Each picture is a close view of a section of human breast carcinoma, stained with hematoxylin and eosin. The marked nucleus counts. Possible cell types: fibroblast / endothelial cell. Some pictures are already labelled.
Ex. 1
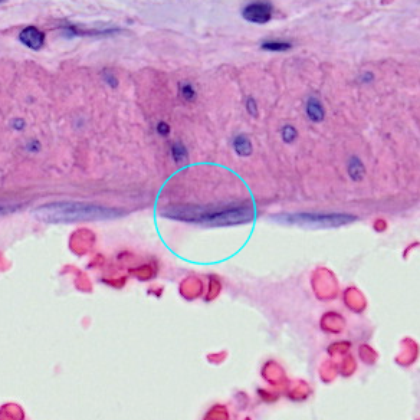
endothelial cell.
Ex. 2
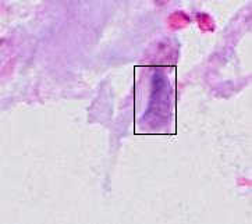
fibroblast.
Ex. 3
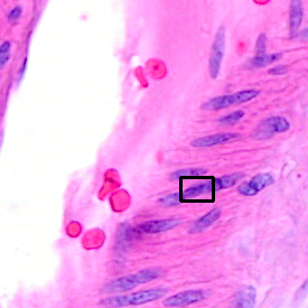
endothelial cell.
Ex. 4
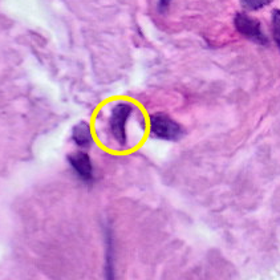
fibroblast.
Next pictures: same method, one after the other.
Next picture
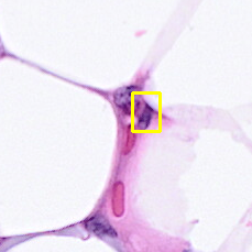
endothelial cell.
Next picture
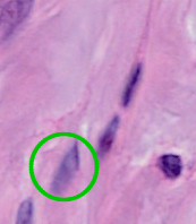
fibroblast.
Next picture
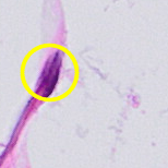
endothelial cell.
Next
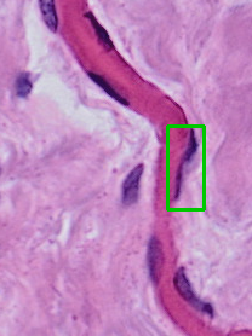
endothelial cell.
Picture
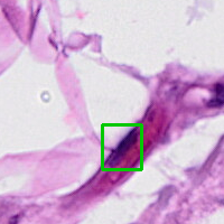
endothelial cell.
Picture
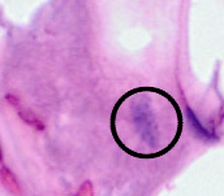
fibroblast.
